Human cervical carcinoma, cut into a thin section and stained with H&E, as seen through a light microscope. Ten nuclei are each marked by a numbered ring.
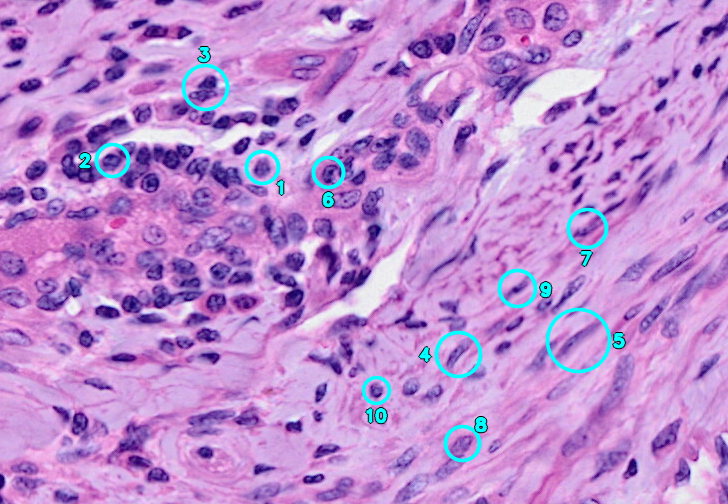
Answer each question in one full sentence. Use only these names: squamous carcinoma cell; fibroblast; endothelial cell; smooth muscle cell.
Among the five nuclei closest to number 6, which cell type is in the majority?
Endothelial cells account for more than half of the five nuclei nearest to number 6.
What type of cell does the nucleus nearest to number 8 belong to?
Number 8 lies closest to the nucleus of a smooth muscle cell.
